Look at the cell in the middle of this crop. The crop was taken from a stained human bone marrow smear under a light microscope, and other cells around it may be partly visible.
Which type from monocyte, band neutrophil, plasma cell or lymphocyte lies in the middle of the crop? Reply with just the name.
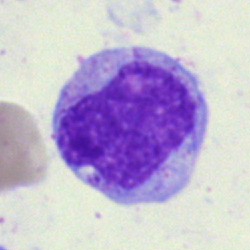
monocyte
